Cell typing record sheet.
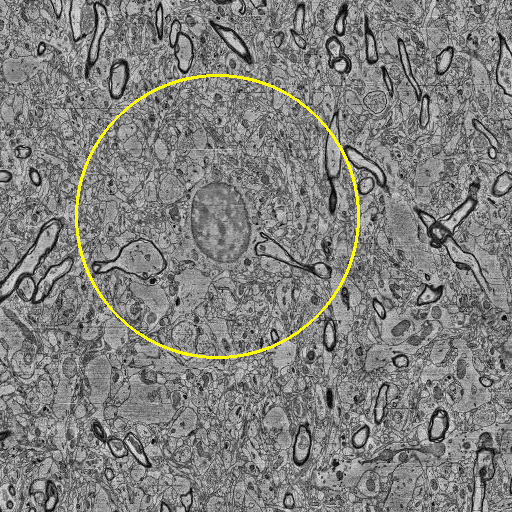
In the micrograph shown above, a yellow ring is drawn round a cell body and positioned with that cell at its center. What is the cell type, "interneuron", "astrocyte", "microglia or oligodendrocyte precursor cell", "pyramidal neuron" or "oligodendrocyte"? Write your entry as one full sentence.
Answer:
The cell body at the center of the ring belongs to an oligodendrocyte.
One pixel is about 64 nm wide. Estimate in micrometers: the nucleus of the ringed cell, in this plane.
The nucleus works out at approximately 5 by 4 micrometres in this plane.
